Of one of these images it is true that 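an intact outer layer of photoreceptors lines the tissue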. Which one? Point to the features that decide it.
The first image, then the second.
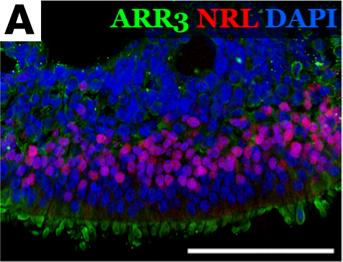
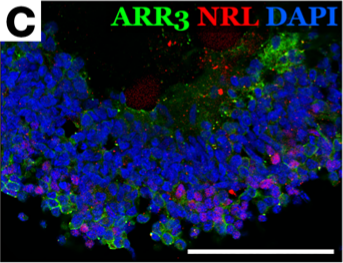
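Second image: no continuous band of red nuclei or green outer rim; the tissue edge is ragged. First image: a continuous band of red nuclei and a green outer rim run along the surface. The answer: the first image.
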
